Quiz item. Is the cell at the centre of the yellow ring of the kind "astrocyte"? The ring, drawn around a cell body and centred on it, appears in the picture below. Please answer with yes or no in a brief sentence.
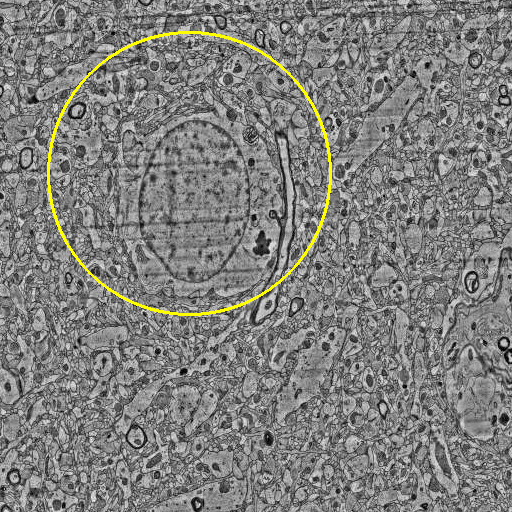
Yes, it is that kind of cell.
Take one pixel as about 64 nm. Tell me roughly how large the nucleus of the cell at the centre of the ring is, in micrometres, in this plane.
The nucleus has a long axis of about 10 micrometres and a short axis of about 7 micrometres in this plane.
